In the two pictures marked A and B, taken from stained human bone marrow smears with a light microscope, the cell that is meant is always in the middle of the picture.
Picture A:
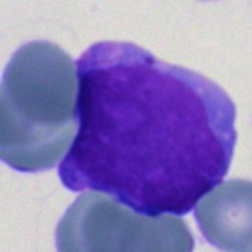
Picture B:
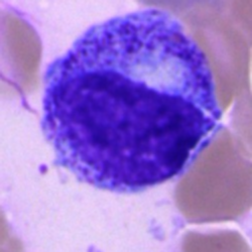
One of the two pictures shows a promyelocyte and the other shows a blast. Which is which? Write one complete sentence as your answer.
Picture B shows a promyelocyte, while picture A shows a blast.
